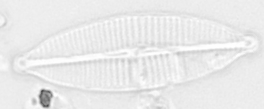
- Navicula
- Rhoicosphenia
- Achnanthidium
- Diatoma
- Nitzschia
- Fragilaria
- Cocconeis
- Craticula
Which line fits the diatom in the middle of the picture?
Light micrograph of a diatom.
Craticula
